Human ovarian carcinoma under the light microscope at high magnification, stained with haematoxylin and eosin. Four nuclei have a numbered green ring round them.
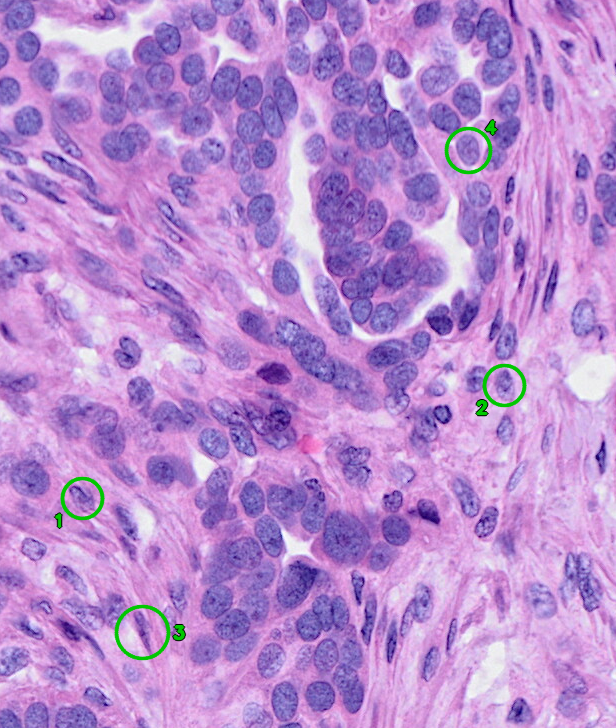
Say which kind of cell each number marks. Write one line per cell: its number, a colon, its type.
1: fibroblast
2: fibroblast
3: fibroblast
4: carcinoma cell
